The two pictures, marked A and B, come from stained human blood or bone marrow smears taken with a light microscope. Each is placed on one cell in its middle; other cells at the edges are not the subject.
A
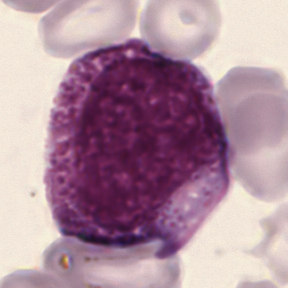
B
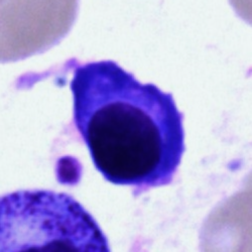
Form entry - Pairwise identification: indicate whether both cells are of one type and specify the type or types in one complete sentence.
No, crop A depicts a promyelocyte; crop B depicts a plasma cell.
